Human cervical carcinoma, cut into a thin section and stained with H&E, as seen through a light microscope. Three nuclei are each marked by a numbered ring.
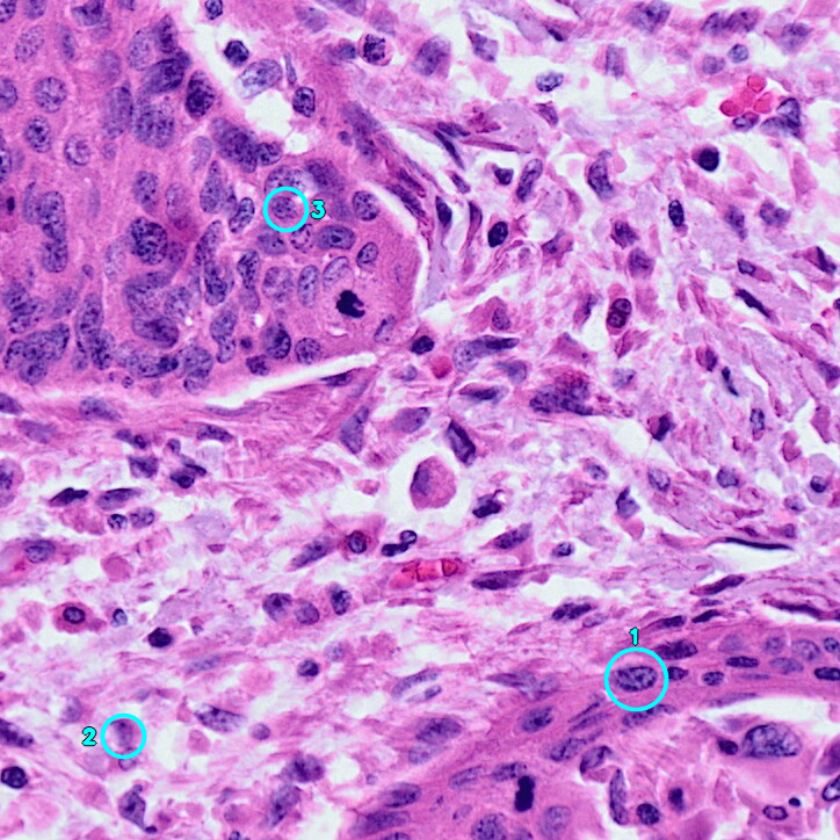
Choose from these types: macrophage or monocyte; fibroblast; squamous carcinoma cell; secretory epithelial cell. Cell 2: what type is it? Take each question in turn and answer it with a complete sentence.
The cell to which the number 2 is assigned is a fibroblast.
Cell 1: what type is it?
The correct answer for cell 1 is a squamous carcinoma cell.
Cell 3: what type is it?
The cell given label 3 is a squamous carcinoma cell.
